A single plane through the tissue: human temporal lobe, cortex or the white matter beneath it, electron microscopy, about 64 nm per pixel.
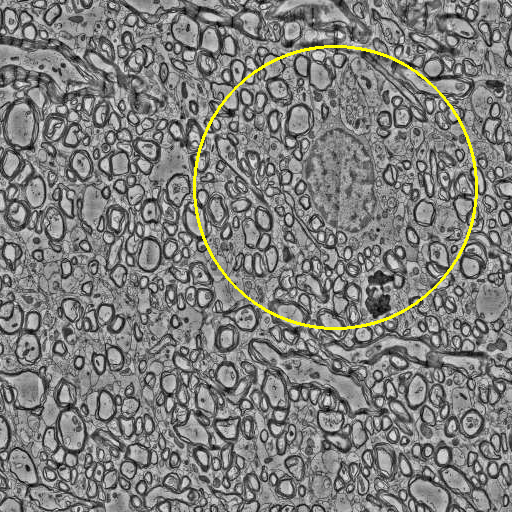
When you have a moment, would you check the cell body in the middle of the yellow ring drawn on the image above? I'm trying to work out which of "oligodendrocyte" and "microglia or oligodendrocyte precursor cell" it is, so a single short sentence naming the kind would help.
This cell body belongs to an oligodendrocyte.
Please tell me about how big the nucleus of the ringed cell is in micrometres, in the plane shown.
In this plane the nucleus spans approximately 7 by 5 micrometers.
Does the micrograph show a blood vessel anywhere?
No, no vessel shows anywhere in the image.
